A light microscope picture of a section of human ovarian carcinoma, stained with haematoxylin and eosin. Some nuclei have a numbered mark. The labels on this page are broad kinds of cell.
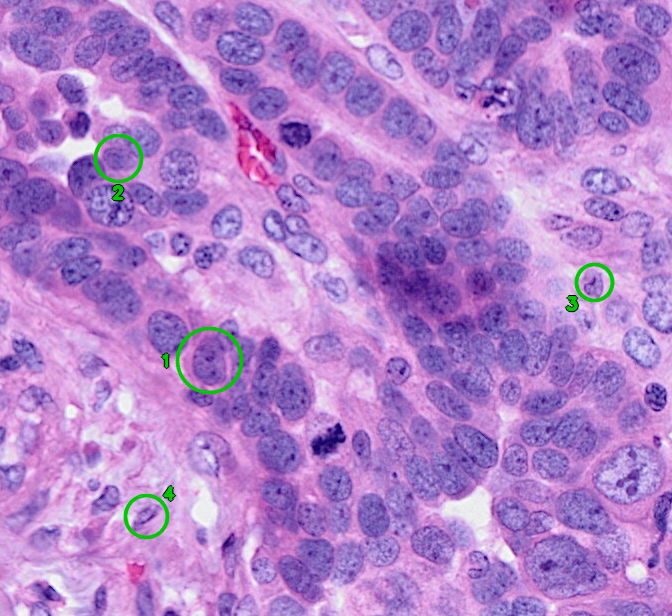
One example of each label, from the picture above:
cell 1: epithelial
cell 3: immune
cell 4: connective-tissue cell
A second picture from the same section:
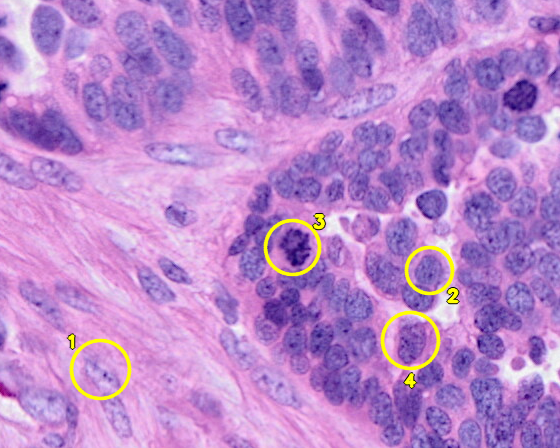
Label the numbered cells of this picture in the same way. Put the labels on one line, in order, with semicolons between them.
connective-tissue cell; epithelial; epithelial; epithelial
